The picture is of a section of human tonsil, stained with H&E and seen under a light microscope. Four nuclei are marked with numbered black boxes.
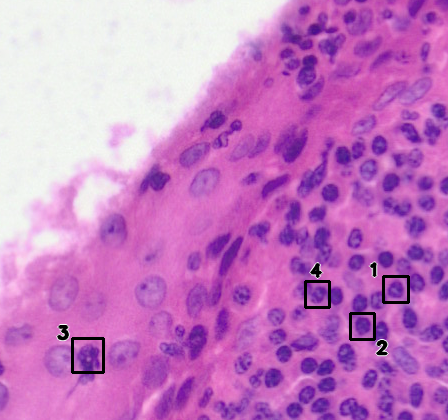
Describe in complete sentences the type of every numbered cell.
Cells 1, 2 and 4 are plasma cells. Cell 3 is a squamous epithelial cell.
